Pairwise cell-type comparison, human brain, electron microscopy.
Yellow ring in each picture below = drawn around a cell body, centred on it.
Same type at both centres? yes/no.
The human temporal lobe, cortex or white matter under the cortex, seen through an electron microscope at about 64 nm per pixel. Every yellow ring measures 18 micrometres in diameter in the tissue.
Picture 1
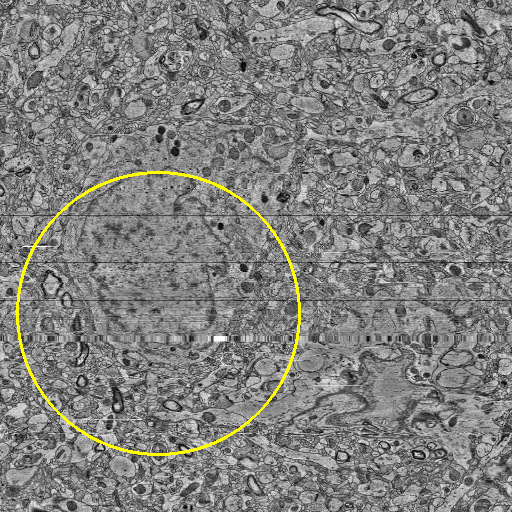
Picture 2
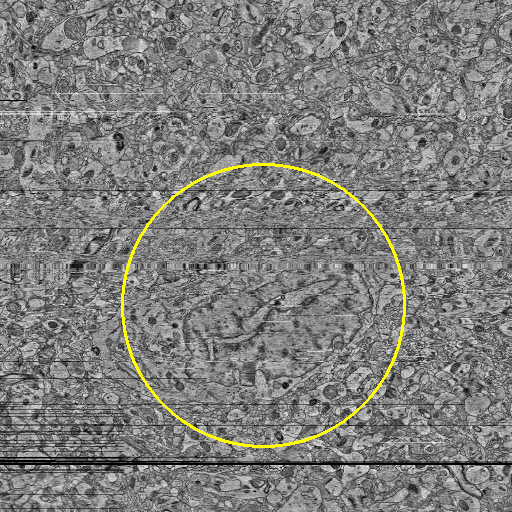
yes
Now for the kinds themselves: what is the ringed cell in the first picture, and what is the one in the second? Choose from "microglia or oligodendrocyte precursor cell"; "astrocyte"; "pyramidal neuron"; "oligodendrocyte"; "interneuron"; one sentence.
Each cell at the centre of a ring is an interneuron.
